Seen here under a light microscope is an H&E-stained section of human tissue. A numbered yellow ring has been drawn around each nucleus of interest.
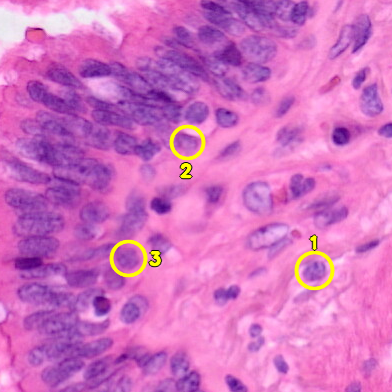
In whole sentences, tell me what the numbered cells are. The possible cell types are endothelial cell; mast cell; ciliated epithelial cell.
Cell 1 is a mast cell, cell 2 is a ciliated epithelial cell and cell 3 is a ciliated epithelial cell.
